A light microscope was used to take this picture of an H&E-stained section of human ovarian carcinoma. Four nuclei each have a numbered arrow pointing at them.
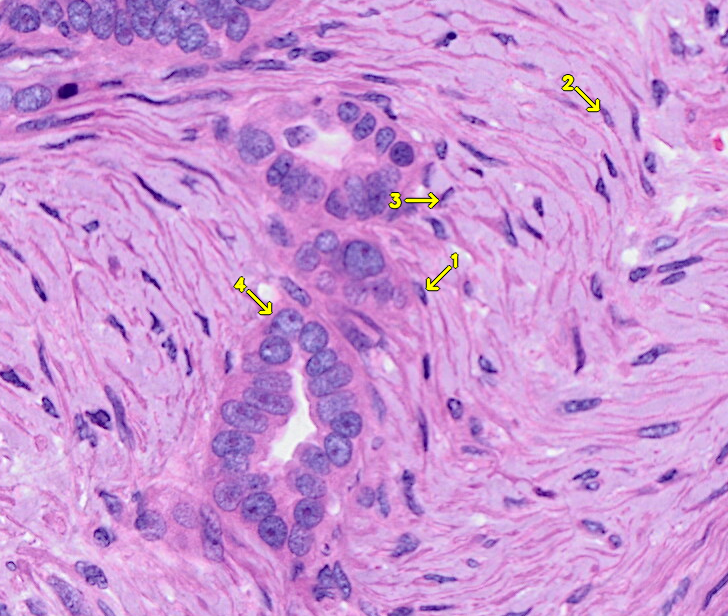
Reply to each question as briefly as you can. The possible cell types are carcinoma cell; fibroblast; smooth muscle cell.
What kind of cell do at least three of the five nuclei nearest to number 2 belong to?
fibroblast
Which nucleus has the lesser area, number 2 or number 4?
2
